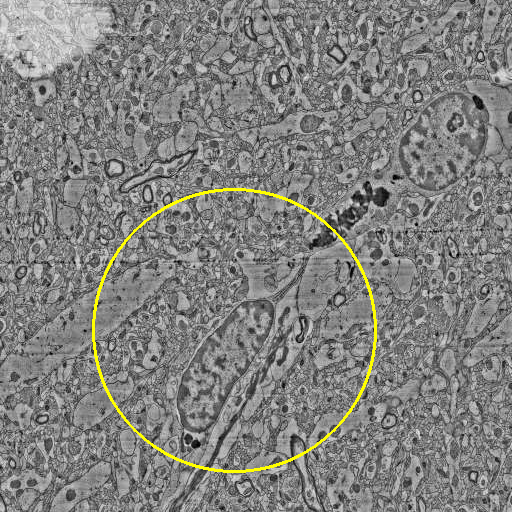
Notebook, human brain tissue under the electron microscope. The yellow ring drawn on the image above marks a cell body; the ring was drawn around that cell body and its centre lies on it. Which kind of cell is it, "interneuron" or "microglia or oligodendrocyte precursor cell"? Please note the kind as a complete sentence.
The marked cell body is that of a microglial cell or oligodendrocyte precursor cell.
